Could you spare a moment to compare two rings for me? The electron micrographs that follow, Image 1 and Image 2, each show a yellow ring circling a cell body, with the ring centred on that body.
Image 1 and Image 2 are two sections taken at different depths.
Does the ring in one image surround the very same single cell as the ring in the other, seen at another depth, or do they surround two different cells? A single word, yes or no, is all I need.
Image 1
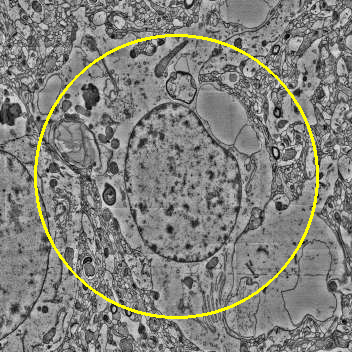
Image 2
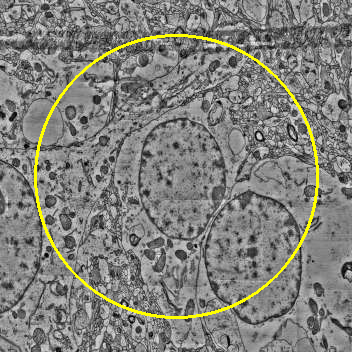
yes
